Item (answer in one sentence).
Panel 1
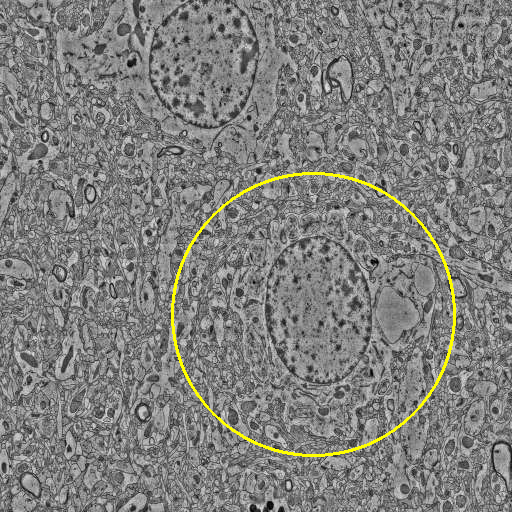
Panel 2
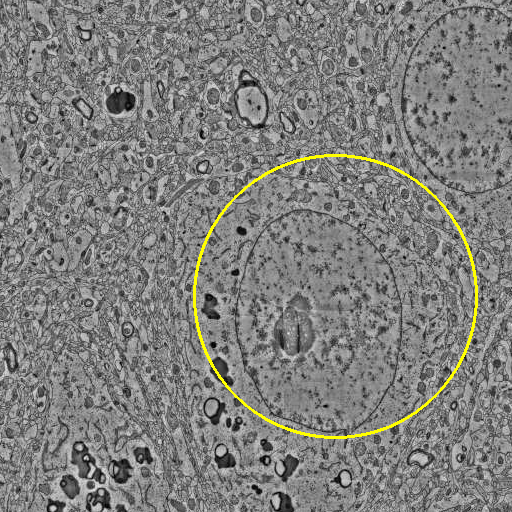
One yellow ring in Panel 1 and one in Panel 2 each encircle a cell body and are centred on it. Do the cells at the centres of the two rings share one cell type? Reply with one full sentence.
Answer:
No, Panel 1 and Panel 2 show cells of two types at the centres of their rings.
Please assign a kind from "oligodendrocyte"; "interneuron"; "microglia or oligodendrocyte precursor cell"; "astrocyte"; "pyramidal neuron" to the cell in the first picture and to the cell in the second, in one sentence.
In the first picture we have an astrocyte, and in the second, a pyramidal neuron.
